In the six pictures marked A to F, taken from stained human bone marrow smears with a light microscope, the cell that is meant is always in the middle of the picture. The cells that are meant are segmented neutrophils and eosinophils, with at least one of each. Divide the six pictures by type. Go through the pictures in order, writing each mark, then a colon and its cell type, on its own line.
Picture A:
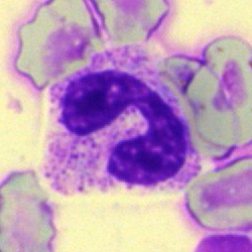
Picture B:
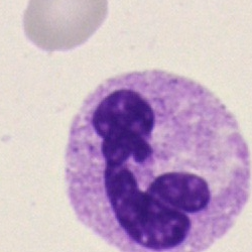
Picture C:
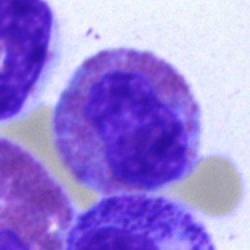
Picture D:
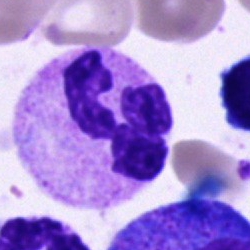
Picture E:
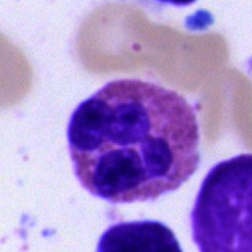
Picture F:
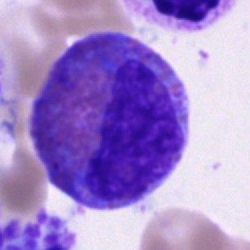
A: segmented neutrophil
B: segmented neutrophil
C: eosinophil
D: segmented neutrophil
E: eosinophil
F: eosinophil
